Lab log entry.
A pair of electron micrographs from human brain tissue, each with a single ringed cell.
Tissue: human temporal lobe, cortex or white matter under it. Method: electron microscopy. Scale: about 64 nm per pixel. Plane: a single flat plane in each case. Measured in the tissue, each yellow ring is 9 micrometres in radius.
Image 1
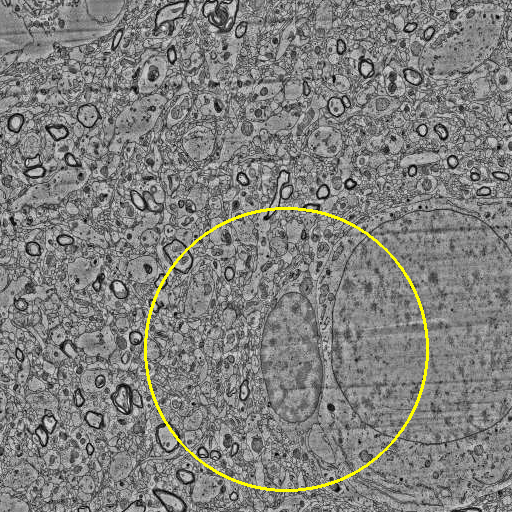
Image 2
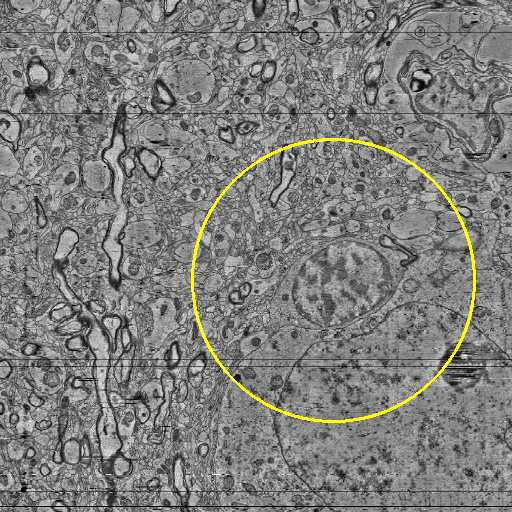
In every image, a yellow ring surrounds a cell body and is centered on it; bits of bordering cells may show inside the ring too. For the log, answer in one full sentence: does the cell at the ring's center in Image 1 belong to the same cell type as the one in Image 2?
Yes, the cells at the ring centers in Image 1 and Image 2 share one type.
